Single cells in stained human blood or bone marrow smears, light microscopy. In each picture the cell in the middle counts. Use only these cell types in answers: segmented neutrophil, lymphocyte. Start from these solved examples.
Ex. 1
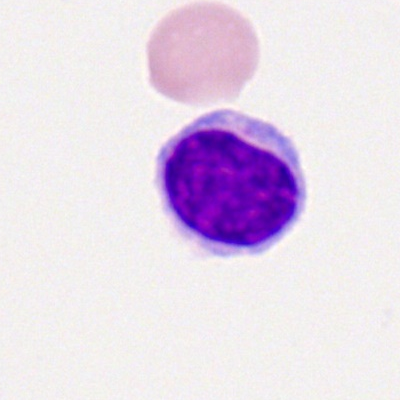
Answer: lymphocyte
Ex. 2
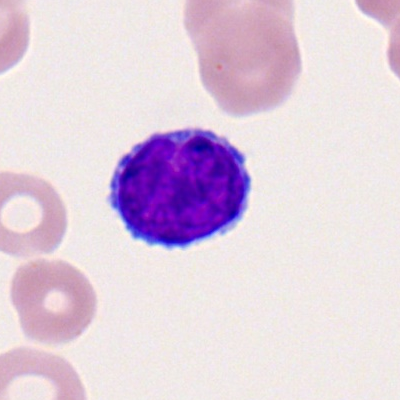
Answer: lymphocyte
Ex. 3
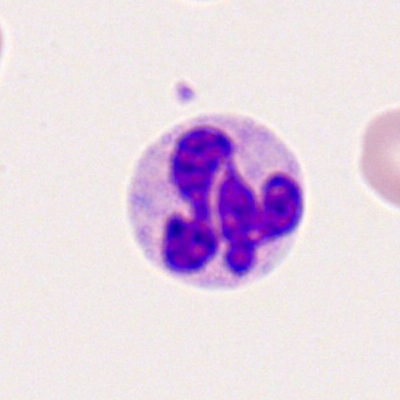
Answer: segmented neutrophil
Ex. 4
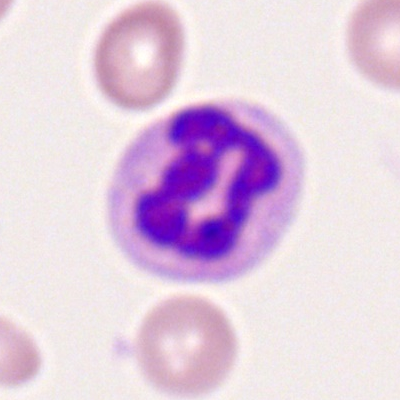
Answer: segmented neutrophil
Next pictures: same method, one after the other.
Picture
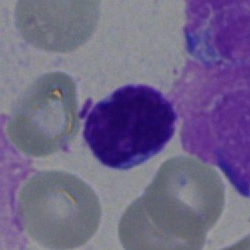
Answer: lymphocyte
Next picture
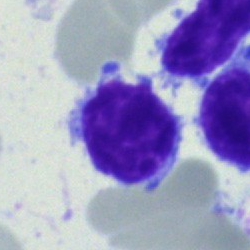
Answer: lymphocyte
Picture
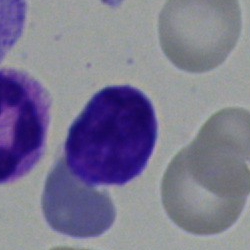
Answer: lymphocyte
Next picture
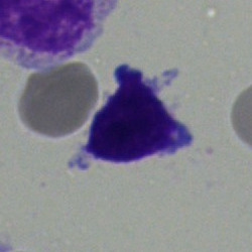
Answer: lymphocyte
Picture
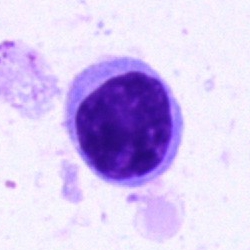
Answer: lymphocyte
